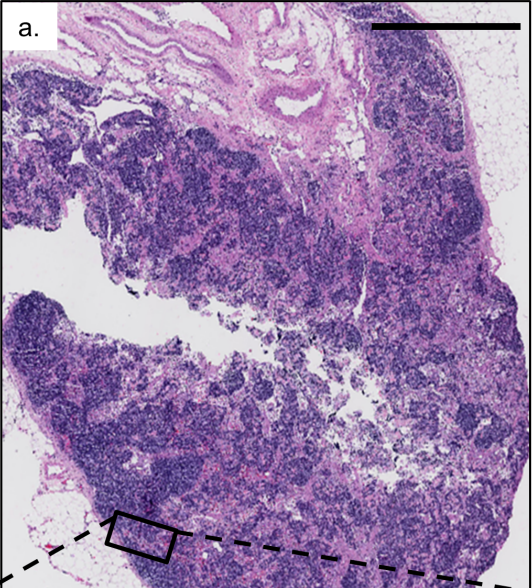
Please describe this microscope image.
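Low-power view of lymph node parenchyma, staining dark purple from densely packed lymphoid cells, arranged in darker nodular masses with paler pink areas between them. Pink fibrous connective tissue and pale, lacy fat lie at the upper margin and at the lower left. Irregular clefts split the tissue.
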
